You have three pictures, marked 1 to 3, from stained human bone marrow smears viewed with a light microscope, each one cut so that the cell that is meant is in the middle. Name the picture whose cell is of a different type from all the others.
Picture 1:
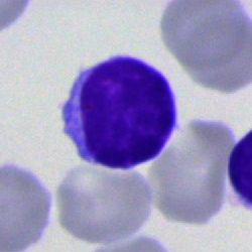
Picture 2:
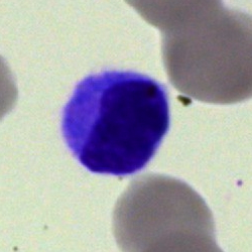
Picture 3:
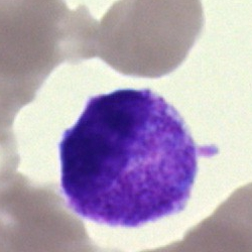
3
